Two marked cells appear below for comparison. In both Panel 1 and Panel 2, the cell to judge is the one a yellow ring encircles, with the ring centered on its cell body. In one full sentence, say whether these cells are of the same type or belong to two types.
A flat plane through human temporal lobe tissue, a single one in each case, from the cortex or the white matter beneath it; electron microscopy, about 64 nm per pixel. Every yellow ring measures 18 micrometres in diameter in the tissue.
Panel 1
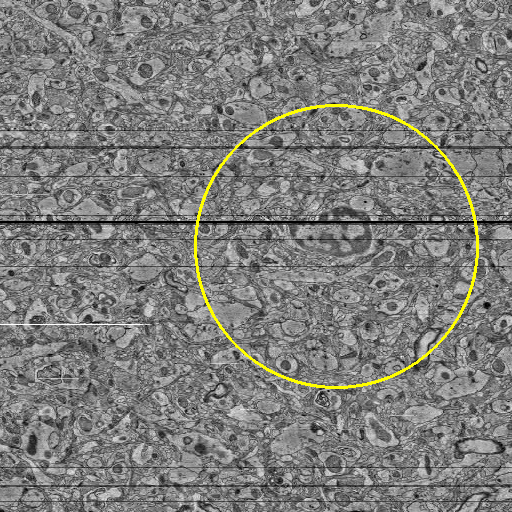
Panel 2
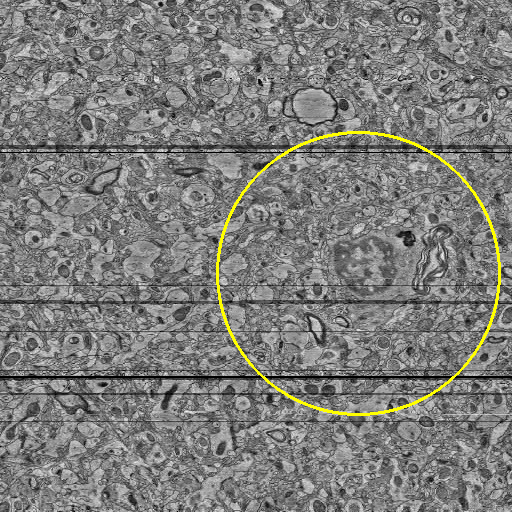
The cell centered in the Panel 1 ring and the one in Panel 2 belong to two types.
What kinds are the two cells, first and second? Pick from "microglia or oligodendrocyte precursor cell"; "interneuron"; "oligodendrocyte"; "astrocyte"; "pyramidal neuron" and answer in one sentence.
The second picture holds an oligodendrocyte in its ring, and the first holds a microglial cell or oligodendrocyte precursor cell.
